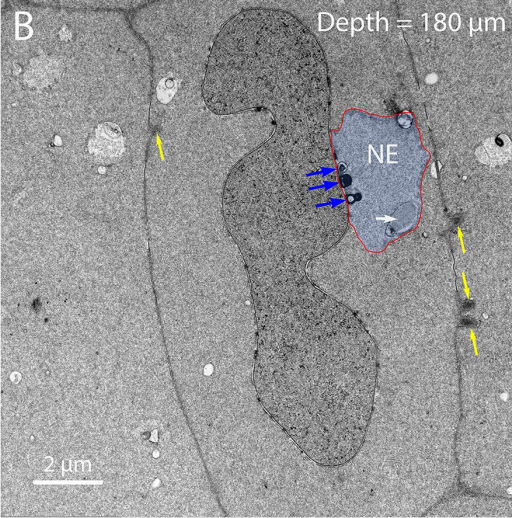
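These are lens fiber cells, and the large nucleus in the middle is long, lobed and deformed, its dense granular content bounded by a thin dark envelope. Pressed against one side of the nucleus lies a paler, irregular low-density zone, tinted blue and outlined in red, with a few small dark round bodies of stacked membrane at its border with the nucleus.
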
